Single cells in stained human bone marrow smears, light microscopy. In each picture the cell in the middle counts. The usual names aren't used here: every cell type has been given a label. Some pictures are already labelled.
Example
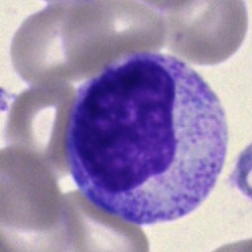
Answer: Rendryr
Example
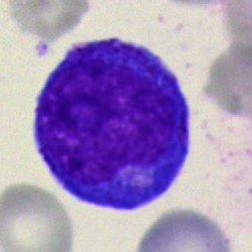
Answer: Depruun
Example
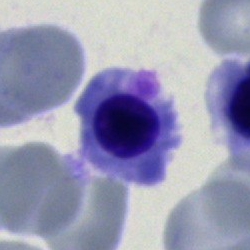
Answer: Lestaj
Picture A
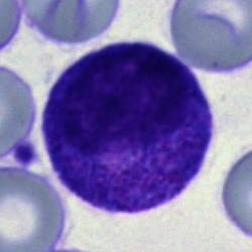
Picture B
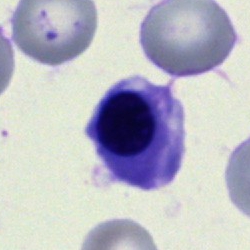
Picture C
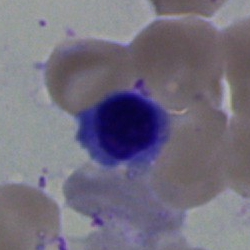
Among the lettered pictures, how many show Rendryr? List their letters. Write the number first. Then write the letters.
0, none of them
